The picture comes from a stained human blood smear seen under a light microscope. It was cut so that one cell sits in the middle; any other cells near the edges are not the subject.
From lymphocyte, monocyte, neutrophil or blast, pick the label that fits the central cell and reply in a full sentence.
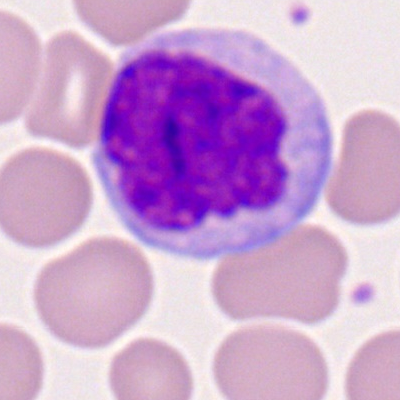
At the middle of the frame sits a monocyte.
